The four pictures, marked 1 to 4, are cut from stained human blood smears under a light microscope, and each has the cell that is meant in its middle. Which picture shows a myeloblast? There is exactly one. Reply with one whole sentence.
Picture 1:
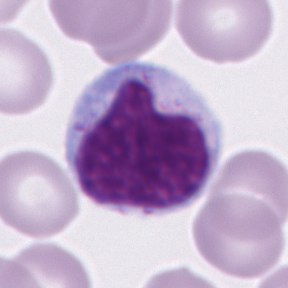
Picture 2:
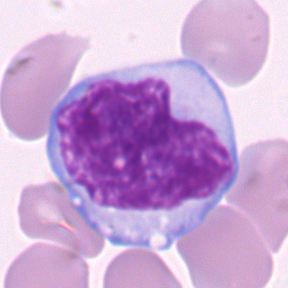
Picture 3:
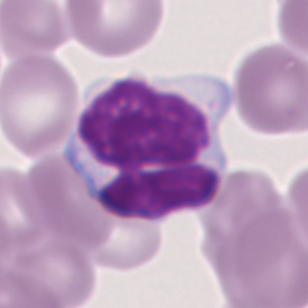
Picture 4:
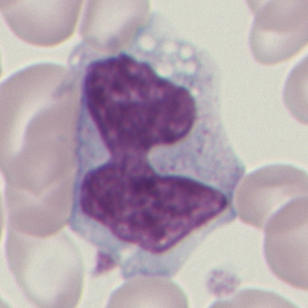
It is picture 2 that shows the myeloblast.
